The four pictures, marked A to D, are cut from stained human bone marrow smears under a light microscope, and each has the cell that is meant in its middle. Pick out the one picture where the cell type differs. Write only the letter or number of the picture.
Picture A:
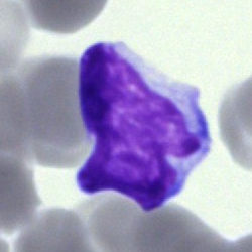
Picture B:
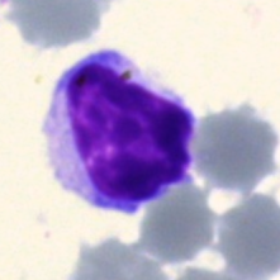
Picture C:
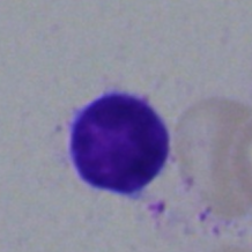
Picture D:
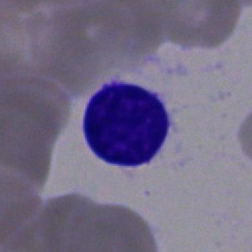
A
